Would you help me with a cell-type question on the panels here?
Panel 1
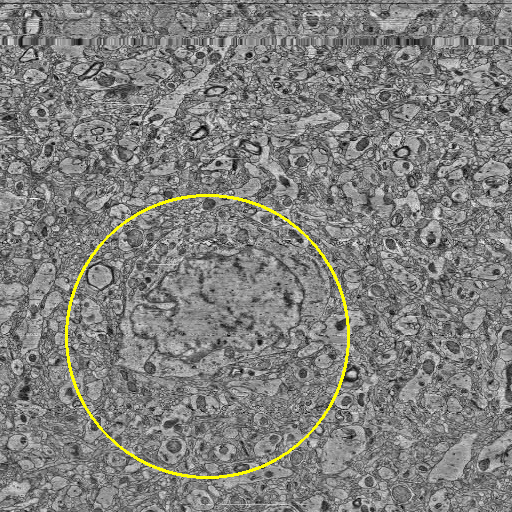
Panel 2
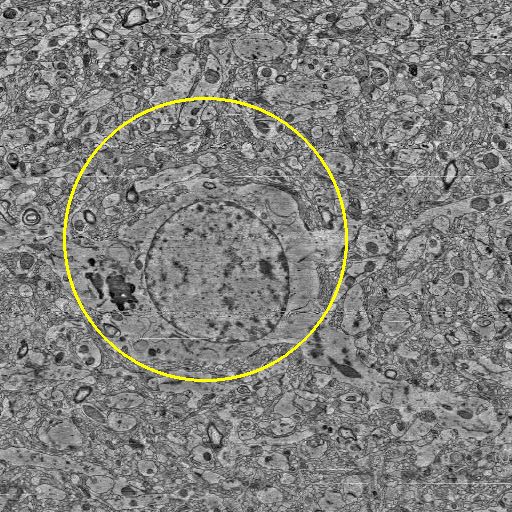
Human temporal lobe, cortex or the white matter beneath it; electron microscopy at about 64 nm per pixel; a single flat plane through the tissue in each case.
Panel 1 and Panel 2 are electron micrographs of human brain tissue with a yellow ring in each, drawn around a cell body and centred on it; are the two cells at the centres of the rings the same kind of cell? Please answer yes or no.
no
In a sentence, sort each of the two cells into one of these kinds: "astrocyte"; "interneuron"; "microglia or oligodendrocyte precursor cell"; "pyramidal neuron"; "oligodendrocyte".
The first of the two cells is an interneuron, and the second is an astrocyte.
